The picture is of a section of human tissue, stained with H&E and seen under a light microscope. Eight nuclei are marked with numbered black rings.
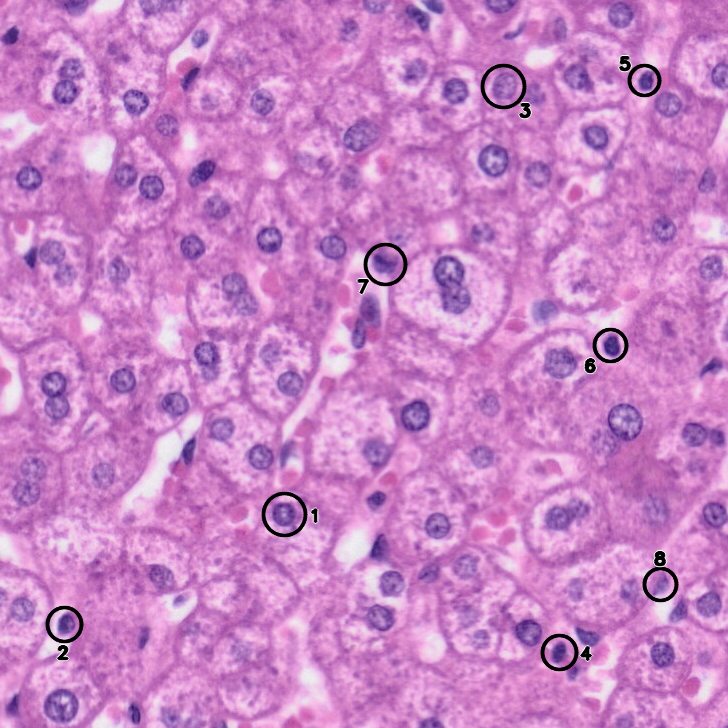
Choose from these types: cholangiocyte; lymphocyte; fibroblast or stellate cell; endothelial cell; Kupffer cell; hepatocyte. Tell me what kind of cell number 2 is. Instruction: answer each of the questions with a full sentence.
The cell referred to as 2 is a lymphocyte.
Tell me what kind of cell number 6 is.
The cell identified by the number 6 is a lymphocyte.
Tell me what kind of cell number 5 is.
The numbered cell 5 in this field is a lymphocyte.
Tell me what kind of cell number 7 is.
Cell 7 in the field is a fibroblast or stellate cell.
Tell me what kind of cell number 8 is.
Classified as an endothelial cell is the cell with the number 8.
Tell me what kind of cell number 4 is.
The cell bearing label 4 corresponds to a lymphocyte.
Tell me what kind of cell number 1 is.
Identified as a hepatocyte is the cell bearing the number 1.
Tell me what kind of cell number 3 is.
Looking at the numbered marks, cell 3 is a hepatocyte.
